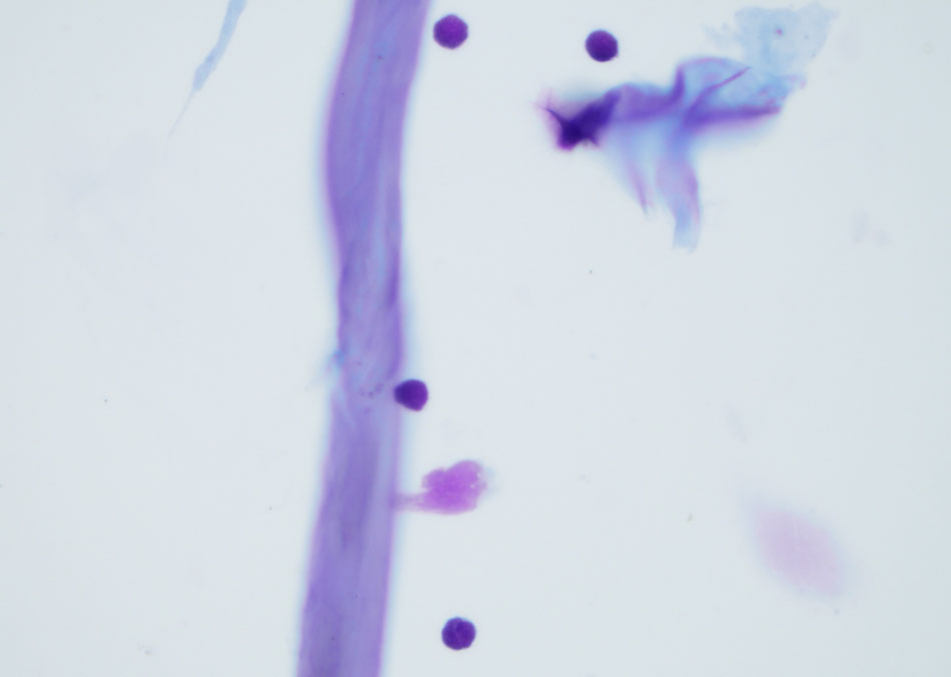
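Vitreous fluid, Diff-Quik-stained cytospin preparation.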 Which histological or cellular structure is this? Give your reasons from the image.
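A long, wavy purple strand runs down the field. Smeared, shapeless purple-blue material with ragged edges lies among the cells. So: debris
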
